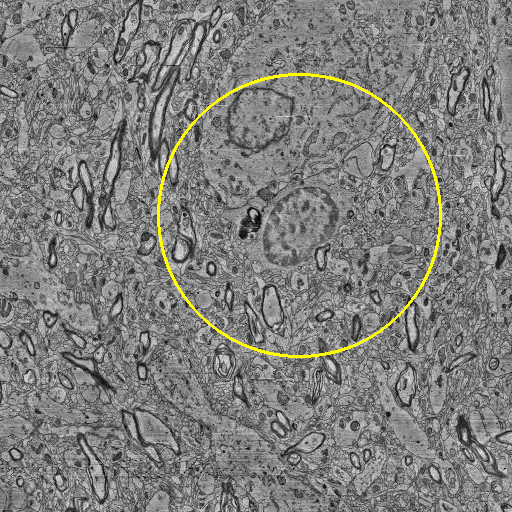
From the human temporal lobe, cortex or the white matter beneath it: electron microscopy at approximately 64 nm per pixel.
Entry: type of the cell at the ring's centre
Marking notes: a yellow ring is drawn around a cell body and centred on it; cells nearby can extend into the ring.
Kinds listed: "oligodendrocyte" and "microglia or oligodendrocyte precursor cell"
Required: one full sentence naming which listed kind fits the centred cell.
My entry names an oligodendrocyte as the cell whose body the yellow ring centres on.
